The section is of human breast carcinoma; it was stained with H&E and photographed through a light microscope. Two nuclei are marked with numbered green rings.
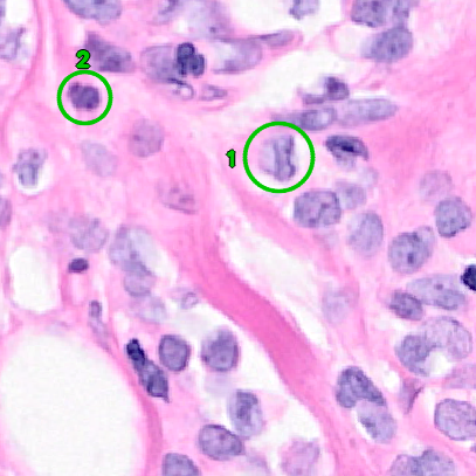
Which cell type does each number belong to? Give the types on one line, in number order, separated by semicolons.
carcinoma cell; lymphocyte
